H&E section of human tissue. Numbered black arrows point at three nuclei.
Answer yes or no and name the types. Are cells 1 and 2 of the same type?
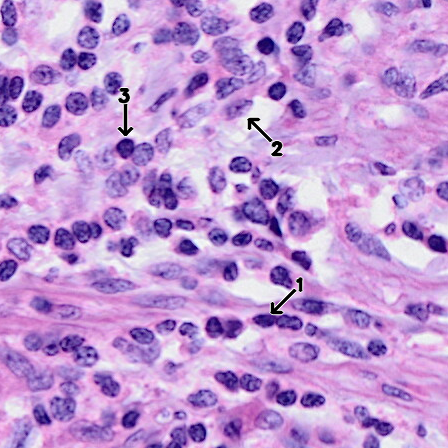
No, cell 1 is a lymphocyte and cell 2 is a macrophage or monocyte.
